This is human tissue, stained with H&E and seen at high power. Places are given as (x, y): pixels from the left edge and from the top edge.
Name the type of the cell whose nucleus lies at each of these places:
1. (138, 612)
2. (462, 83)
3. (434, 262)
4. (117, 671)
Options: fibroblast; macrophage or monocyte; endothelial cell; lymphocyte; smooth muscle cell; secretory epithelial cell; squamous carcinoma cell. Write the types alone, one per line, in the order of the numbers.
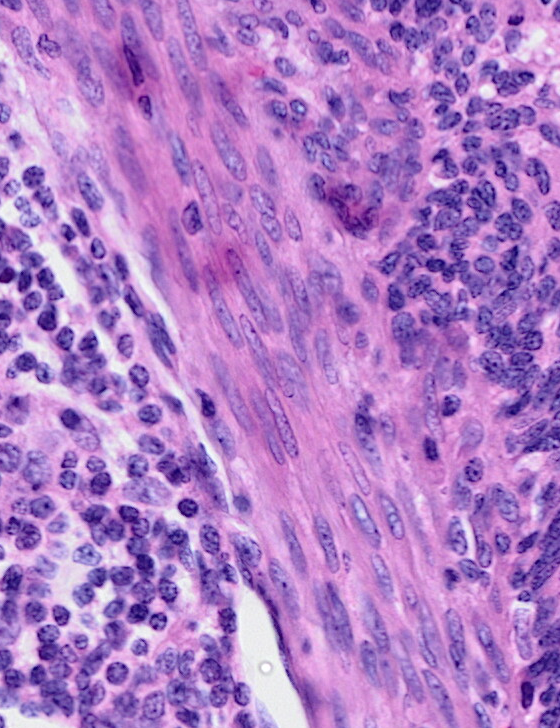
lymphocyte
squamous carcinoma cell
squamous carcinoma cell
lymphocyte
